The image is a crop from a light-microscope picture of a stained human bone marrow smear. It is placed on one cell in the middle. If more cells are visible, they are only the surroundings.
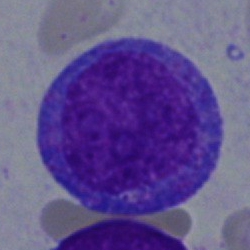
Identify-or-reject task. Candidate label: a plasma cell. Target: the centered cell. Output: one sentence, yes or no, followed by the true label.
No, the cell of interest here is a promyelocyte and not a plasma cell.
